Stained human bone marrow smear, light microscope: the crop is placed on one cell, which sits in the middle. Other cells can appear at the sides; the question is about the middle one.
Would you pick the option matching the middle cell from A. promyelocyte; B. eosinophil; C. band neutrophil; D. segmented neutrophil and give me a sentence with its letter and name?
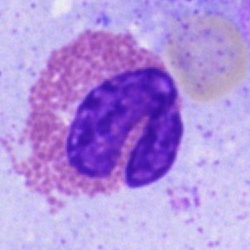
The one cell at the centre is an eosinophil, as correctly stated in option B.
